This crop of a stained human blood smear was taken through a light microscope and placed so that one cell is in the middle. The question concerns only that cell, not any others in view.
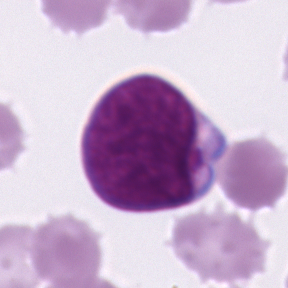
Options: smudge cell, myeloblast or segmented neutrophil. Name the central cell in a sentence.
The central cell in this smear crop is a myeloblast.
